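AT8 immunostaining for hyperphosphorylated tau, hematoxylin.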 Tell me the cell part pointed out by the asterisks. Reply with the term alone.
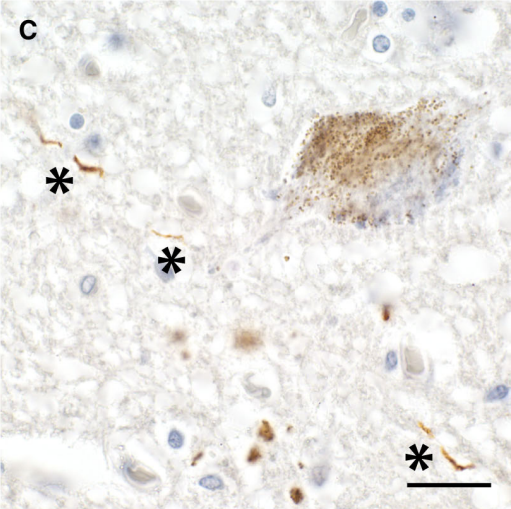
Neurite.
